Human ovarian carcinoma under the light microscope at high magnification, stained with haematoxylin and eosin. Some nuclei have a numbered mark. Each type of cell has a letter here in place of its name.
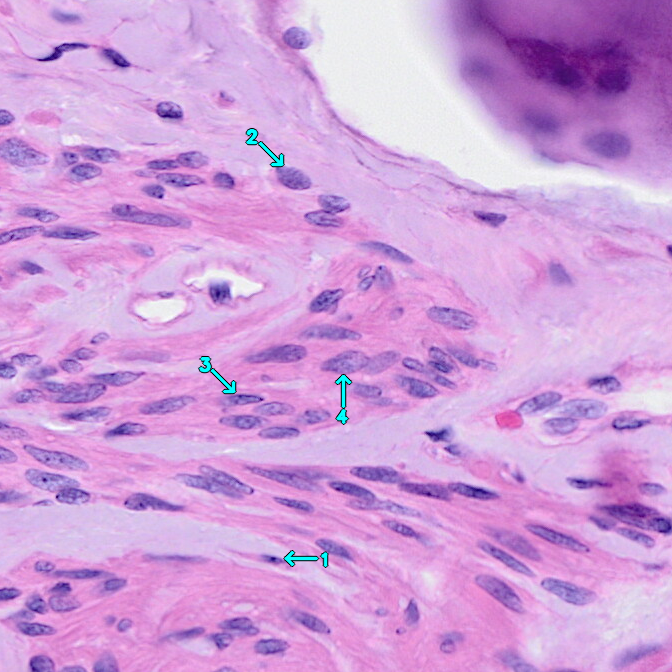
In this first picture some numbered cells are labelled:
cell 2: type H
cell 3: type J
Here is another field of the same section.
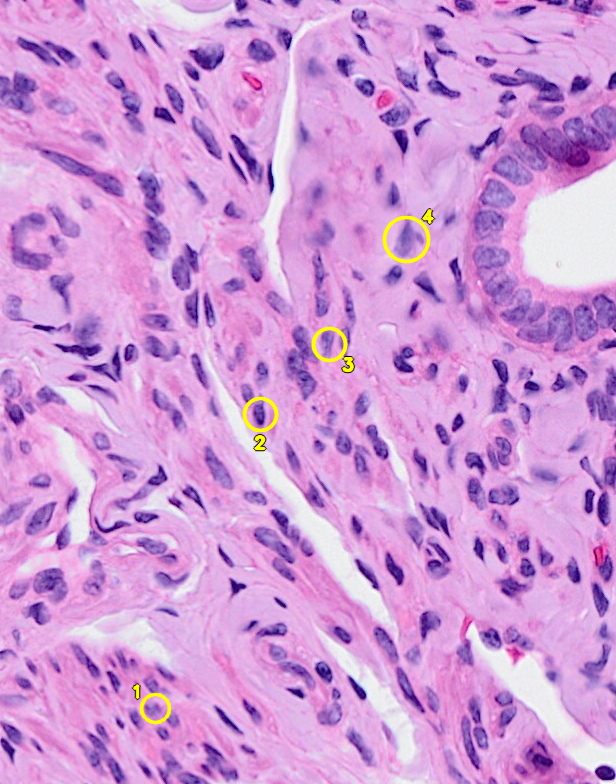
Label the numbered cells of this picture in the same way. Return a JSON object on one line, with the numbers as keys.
{"1": "type J", "2": "type J", "3": "type J", "4": "type H"}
